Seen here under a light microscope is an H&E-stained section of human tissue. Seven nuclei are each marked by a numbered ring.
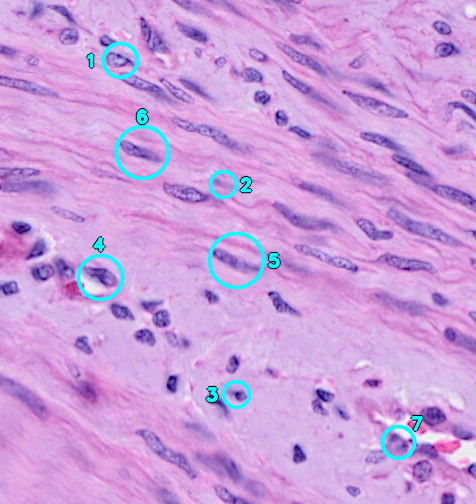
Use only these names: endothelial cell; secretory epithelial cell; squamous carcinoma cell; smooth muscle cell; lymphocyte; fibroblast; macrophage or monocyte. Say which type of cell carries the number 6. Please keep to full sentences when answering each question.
Cell 6 of the marked set is a smooth muscle cell.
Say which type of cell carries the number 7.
The correct answer for cell 7 is an endothelial cell.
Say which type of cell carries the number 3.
The marked nucleus 3 is that of a fibroblast.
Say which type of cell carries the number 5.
Here the cell numbered 5 is a smooth muscle cell.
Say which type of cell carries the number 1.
Among the marked nuclei, number 1 belongs to a smooth muscle cell.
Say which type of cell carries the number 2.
It is as a smooth muscle cell that the cell numbered 2 is identified.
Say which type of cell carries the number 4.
The nucleus marked 4 is the nucleus of an endothelial cell.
